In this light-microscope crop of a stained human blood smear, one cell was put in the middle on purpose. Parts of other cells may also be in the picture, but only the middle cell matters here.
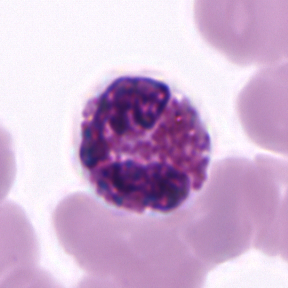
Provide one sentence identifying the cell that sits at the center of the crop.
Framed in the middle of the crop is an eosinophil.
